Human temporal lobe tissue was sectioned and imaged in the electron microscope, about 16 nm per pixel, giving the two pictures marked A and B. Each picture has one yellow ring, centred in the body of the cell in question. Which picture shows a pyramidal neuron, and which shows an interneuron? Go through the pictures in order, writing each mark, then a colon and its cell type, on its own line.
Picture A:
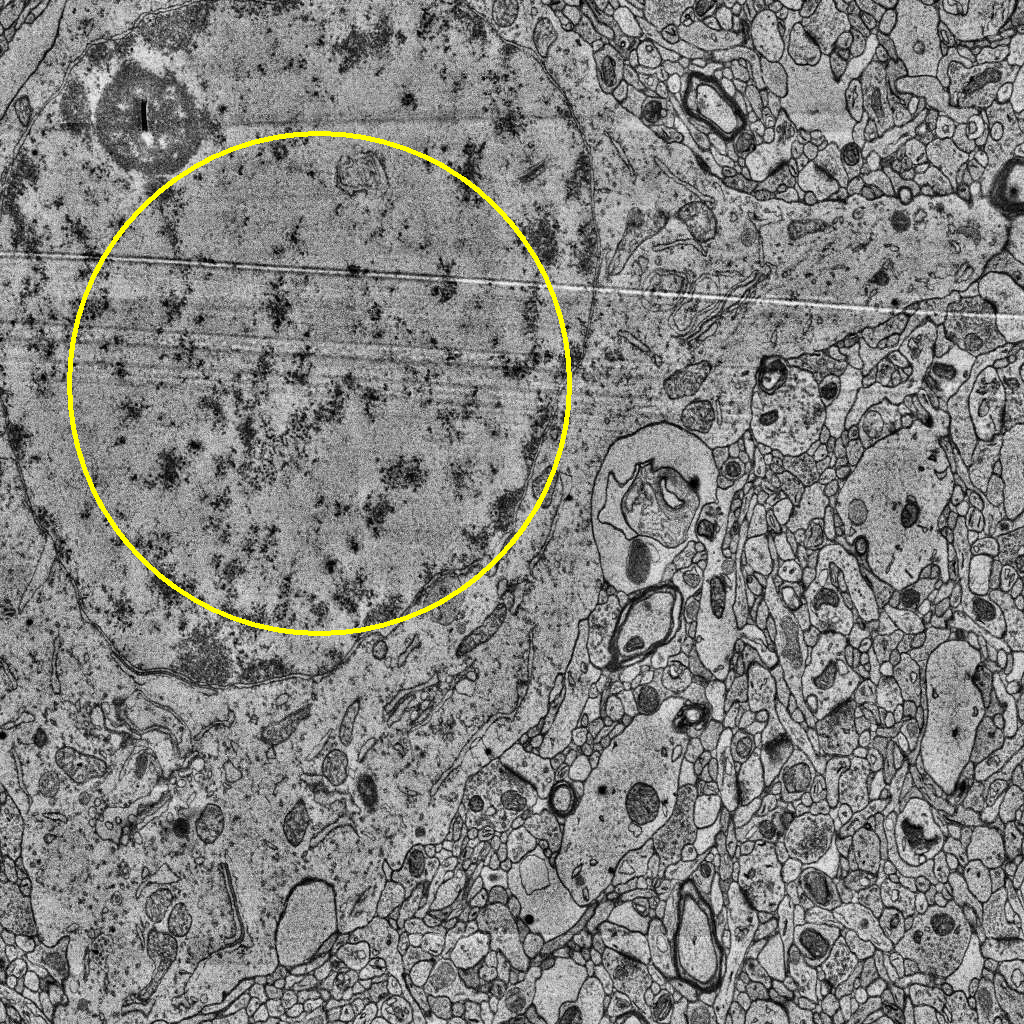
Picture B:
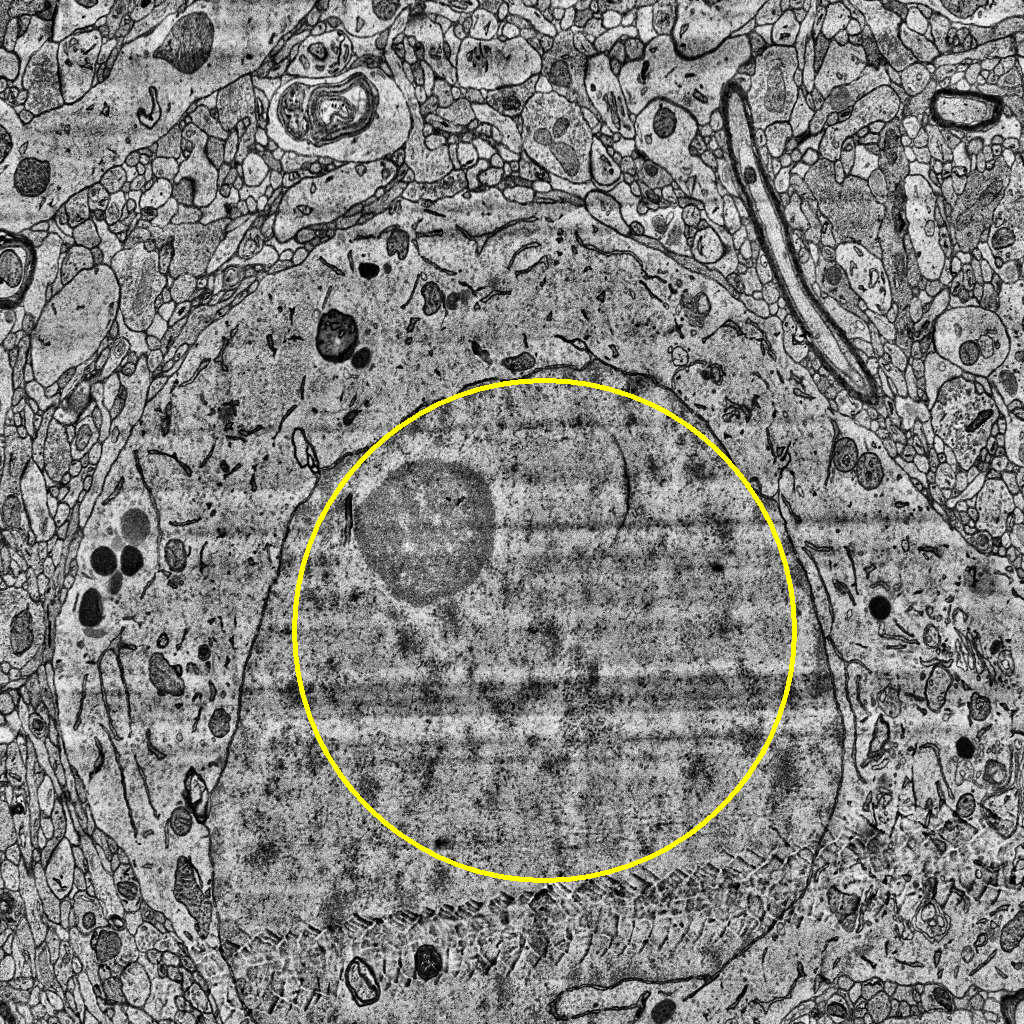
A: interneuron
B: pyramidal neuron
